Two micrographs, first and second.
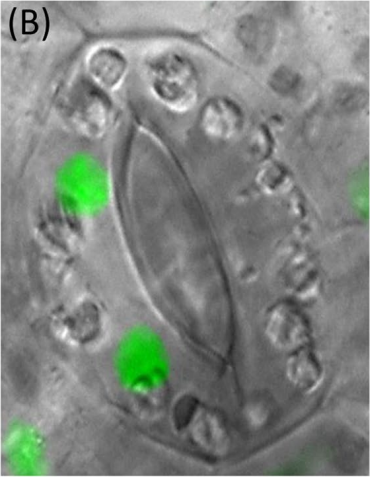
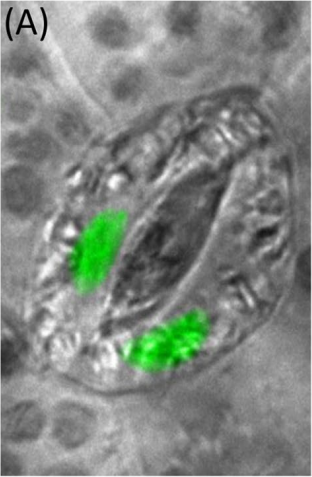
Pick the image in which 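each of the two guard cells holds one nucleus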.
The second image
